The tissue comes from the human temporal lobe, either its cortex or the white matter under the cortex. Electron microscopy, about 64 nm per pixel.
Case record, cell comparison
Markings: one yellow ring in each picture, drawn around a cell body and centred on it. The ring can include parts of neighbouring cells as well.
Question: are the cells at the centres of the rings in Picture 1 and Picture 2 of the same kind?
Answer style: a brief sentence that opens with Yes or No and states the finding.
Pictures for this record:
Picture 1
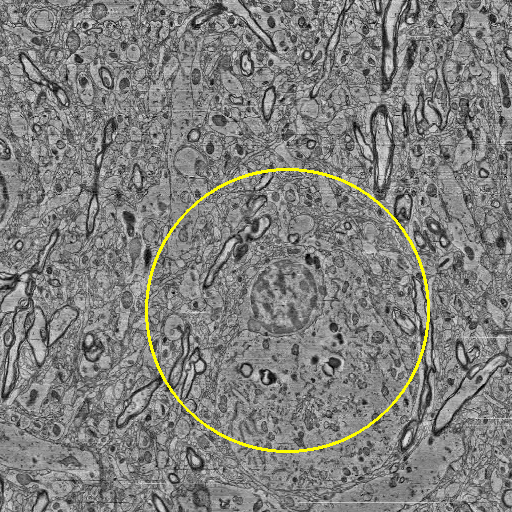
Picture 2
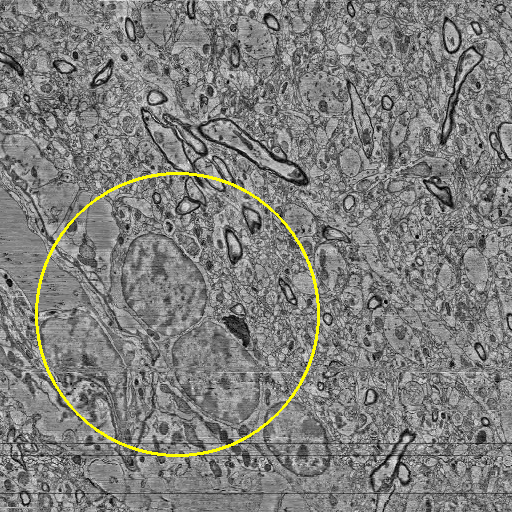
Yes, the cells in Picture 1 and Picture 2 are of the same kind.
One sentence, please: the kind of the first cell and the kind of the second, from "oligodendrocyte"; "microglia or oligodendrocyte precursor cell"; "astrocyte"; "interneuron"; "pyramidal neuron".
Each one of the two ringed cells is an oligodendrocyte.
